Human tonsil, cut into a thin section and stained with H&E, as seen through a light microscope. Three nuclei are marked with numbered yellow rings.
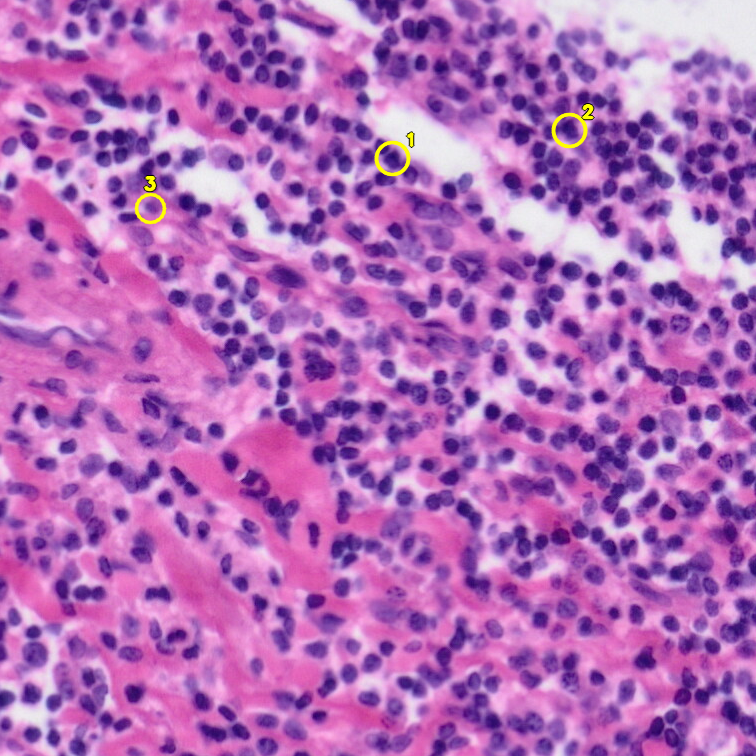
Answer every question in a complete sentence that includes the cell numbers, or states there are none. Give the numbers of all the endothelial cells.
Of the numbered cells, only cell 3 is an endothelial cell.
